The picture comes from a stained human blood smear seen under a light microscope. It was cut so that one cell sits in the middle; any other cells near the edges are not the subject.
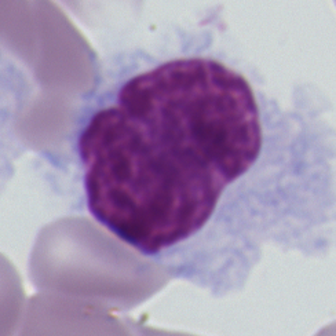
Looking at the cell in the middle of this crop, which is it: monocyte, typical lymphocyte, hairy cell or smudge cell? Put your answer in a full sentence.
The cell at the heart of this crop is a hairy cell.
